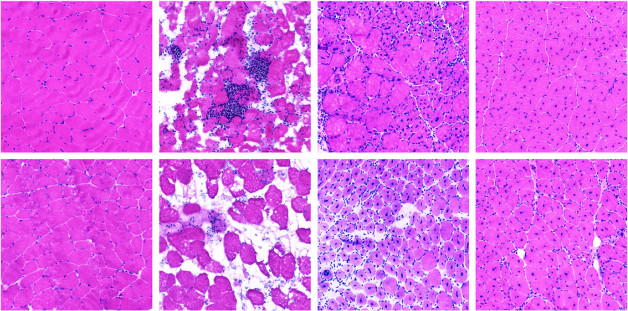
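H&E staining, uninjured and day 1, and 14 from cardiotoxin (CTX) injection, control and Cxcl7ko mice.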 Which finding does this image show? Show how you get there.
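Such clusters are absent from the first column.
Conclusion: Immune infiltration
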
